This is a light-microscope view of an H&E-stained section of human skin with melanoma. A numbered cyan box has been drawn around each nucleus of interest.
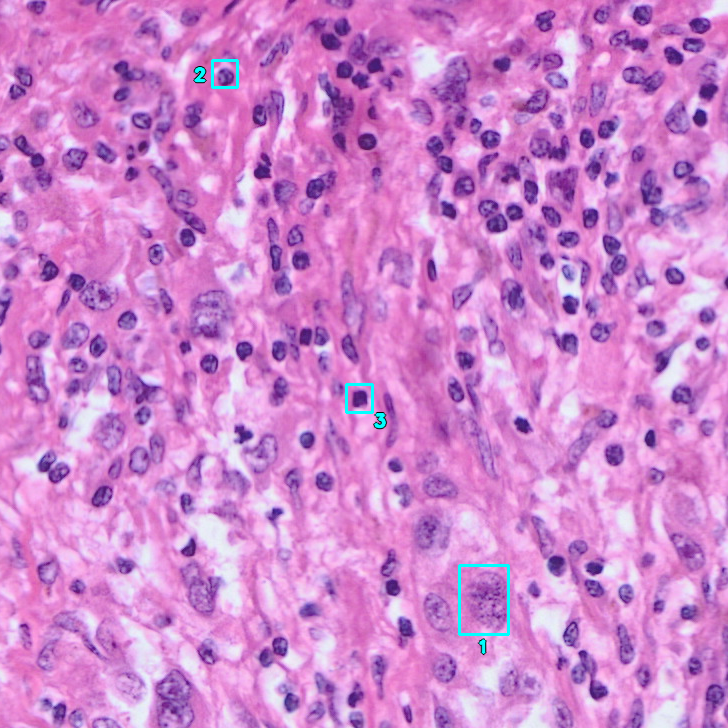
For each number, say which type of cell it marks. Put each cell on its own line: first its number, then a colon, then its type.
1: melanoma cell
2: lymphocyte
3: lymphocyte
